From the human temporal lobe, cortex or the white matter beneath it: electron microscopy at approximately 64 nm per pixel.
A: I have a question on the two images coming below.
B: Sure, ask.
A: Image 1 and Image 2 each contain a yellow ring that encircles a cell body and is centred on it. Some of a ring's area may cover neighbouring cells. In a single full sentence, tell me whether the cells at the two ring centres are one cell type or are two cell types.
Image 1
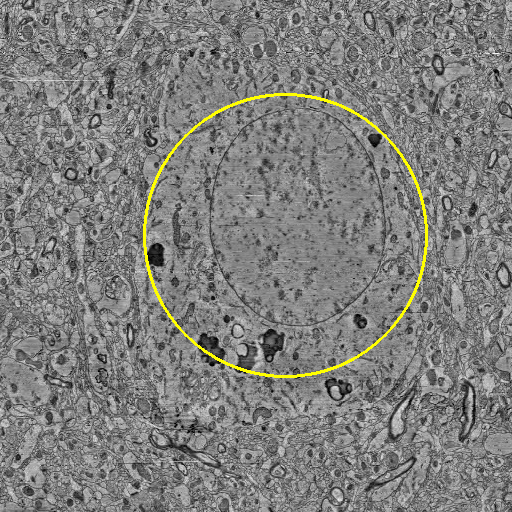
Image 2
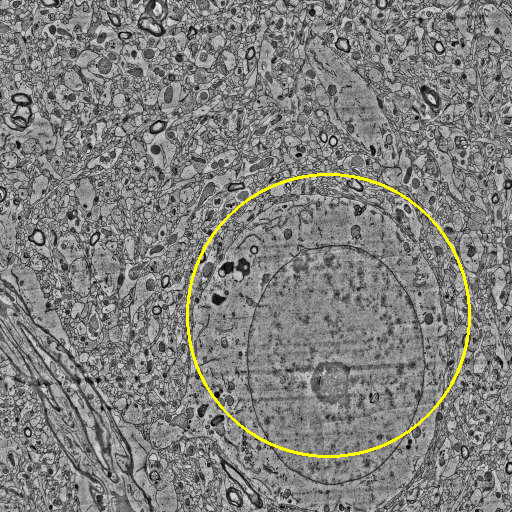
As for the ring-centre cells, the one in Image 1 and the one in Image 2 are one cell type.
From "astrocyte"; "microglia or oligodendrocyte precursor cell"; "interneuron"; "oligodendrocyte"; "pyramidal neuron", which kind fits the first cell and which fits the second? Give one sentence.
The cell at the ring centre is a pyramidal neuron in both pictures.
